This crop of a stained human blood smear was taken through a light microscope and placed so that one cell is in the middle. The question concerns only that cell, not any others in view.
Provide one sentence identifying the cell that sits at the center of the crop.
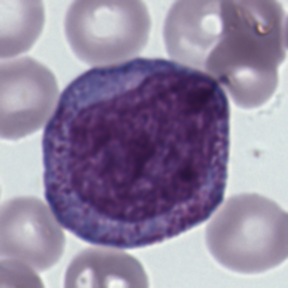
What sits at the centre of this crop is a promyelocyte.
